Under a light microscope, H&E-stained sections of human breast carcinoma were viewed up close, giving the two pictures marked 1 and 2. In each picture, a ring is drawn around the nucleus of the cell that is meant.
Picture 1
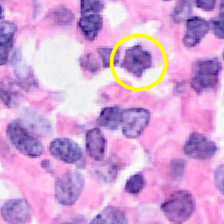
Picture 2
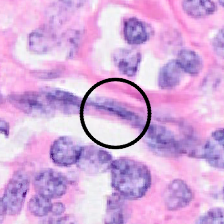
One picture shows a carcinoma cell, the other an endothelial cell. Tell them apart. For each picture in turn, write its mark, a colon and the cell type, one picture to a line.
1: carcinoma cell
2: endothelial cell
